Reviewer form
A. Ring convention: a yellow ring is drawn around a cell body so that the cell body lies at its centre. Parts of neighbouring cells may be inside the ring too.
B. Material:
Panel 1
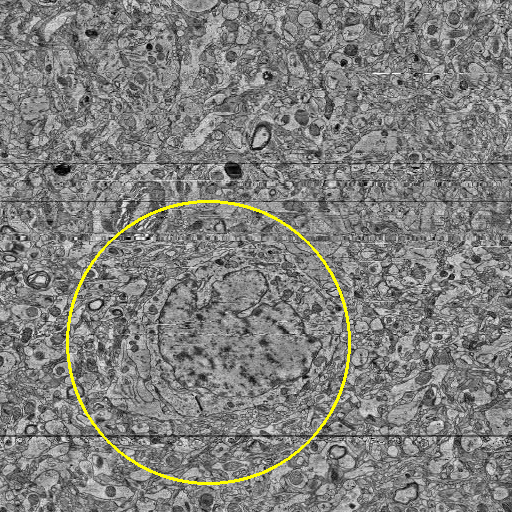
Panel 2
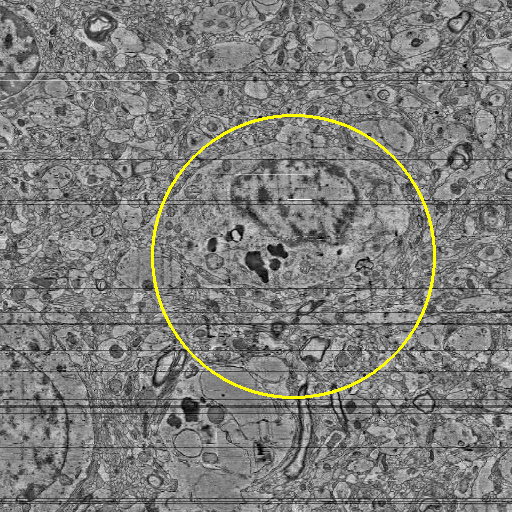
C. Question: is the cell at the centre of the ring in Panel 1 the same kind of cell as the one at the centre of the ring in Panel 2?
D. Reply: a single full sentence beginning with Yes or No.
Yes, the cells in Panel 1 and Panel 2 are the same kind of cell.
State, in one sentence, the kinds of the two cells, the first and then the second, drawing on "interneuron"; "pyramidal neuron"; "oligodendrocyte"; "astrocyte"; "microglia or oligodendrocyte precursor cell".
Each of the two rings is centred on an interneuron.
